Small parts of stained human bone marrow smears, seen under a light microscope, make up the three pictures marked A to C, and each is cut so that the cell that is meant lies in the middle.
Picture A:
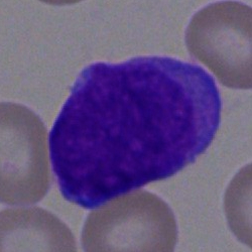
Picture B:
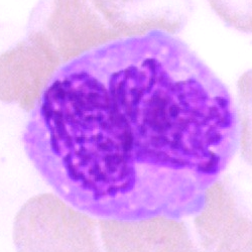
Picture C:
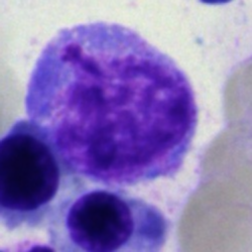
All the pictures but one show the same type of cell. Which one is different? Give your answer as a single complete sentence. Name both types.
The different one is picture A; it shows a blast, whereas all the others show monocytes.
